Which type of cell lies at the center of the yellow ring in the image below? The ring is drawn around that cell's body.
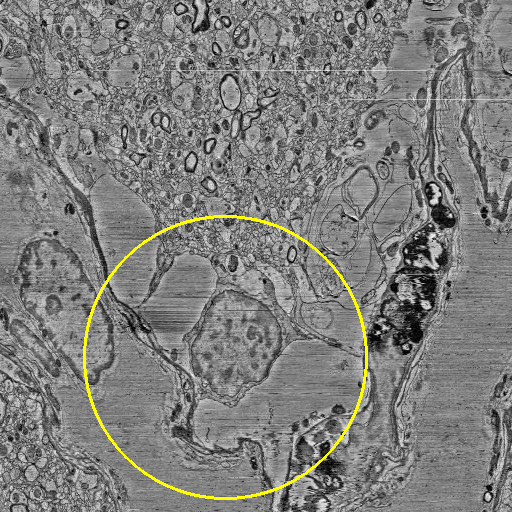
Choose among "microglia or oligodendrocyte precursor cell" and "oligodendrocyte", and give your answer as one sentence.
The cell body at the center belongs to an oligodendrocyte.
